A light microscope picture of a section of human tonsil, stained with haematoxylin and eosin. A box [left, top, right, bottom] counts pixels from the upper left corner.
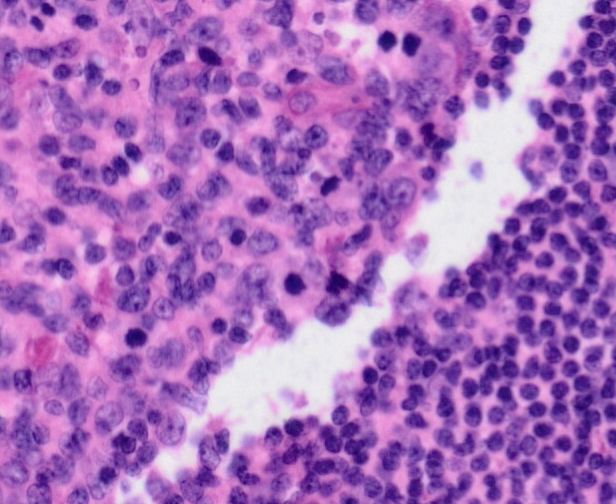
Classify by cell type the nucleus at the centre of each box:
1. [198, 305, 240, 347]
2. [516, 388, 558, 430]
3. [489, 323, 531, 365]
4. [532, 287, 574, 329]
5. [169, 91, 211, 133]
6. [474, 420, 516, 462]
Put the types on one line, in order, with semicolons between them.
proliferating B cell; small lymphocyte; small lymphocyte; small lymphocyte; proliferating B cell; small lymphocyte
